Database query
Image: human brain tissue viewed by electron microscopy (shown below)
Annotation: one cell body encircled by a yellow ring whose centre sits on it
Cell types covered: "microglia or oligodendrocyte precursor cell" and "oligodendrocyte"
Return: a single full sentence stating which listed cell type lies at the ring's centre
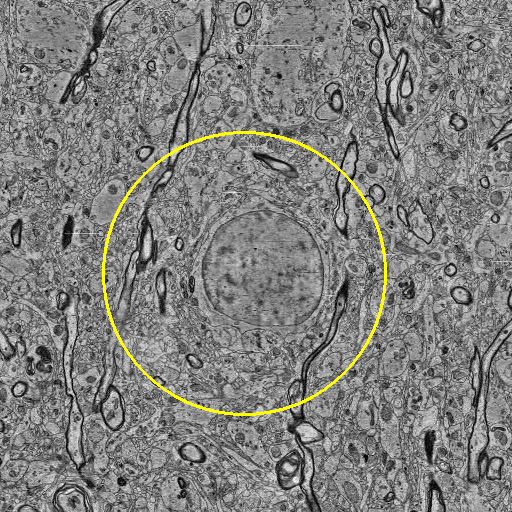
In the image, the cell lying at the ring's centre is a microglial cell or oligodendrocyte precursor cell.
